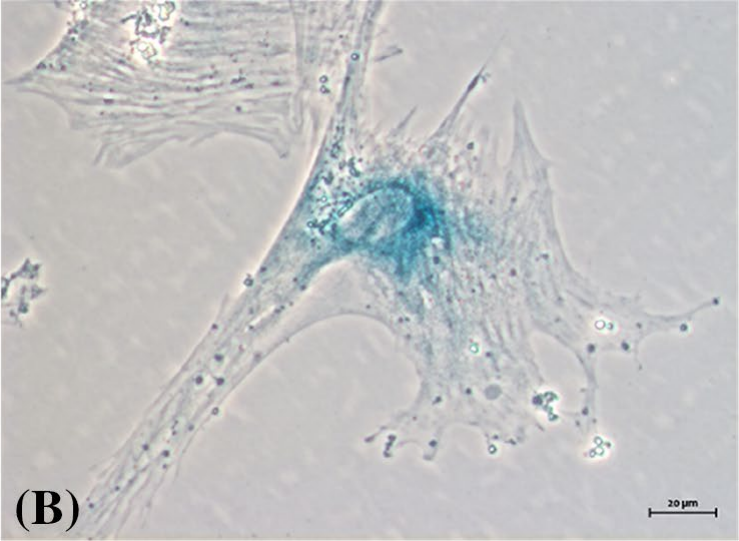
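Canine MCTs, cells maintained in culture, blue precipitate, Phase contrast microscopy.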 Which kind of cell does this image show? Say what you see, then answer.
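Fibroblasts. Large flattened cell with an oval central nucleus. Broad cytoplasm extending into several tapering processes. Fibrillar striations visible in the cytoplasm of neighbouring cells.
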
